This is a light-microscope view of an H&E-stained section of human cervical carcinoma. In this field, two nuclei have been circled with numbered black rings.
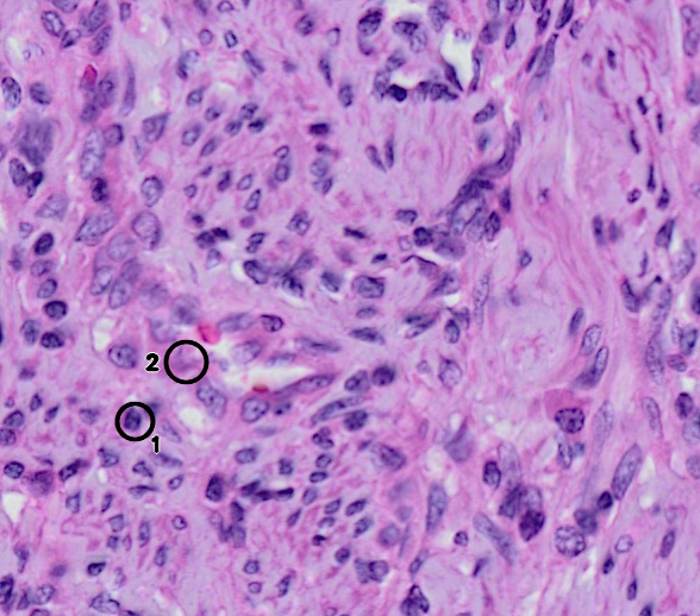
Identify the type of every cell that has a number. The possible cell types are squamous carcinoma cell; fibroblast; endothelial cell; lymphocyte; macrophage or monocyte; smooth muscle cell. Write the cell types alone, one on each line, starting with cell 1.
lymphocyte
endothelial cell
